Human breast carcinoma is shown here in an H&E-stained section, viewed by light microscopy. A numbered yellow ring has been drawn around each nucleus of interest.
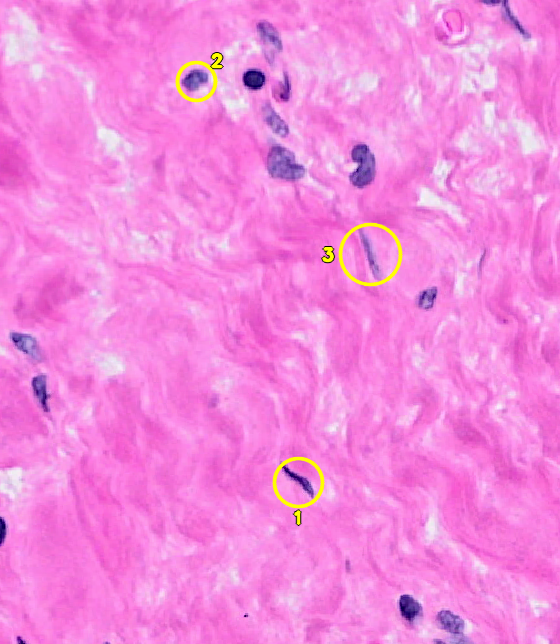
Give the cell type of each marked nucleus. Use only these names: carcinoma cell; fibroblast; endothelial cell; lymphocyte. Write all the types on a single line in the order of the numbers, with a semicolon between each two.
fibroblast; lymphocyte; fibroblast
